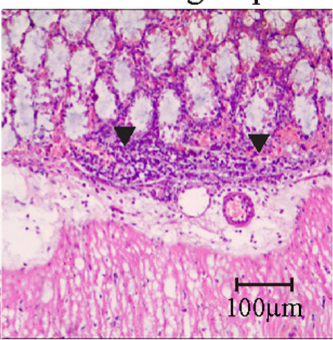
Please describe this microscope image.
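This section of colon shows mucosa with crypts above, a pale submucosa in the middle and pink muscle below. The crypts are packed with goblet cells, which appear as pale, clear vacuoles between purple epithelial nuclei. At the base of the mucosa a dense band of small, dark, round nuclei of inflammatory cells crowds the tissue. The submucosa beneath it is loose and pale, with a small vessel cut in cross-section.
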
